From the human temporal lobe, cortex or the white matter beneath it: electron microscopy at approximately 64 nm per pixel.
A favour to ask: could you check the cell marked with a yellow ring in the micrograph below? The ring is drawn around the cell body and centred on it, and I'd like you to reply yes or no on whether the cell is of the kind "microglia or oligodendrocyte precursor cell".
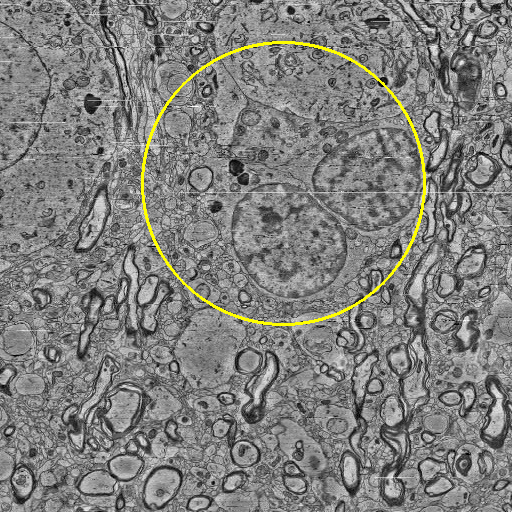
no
